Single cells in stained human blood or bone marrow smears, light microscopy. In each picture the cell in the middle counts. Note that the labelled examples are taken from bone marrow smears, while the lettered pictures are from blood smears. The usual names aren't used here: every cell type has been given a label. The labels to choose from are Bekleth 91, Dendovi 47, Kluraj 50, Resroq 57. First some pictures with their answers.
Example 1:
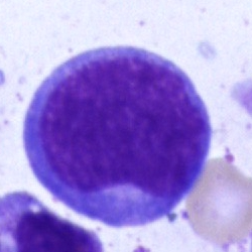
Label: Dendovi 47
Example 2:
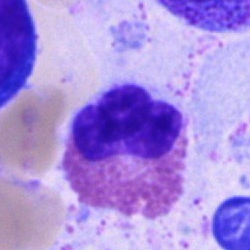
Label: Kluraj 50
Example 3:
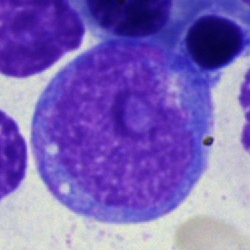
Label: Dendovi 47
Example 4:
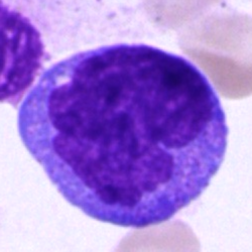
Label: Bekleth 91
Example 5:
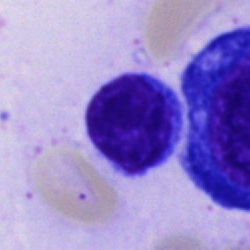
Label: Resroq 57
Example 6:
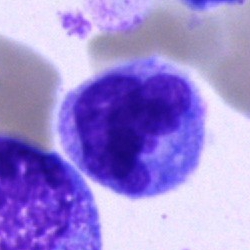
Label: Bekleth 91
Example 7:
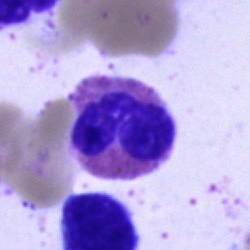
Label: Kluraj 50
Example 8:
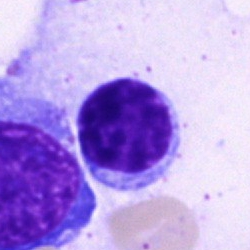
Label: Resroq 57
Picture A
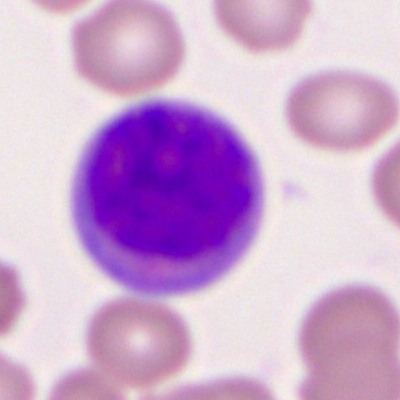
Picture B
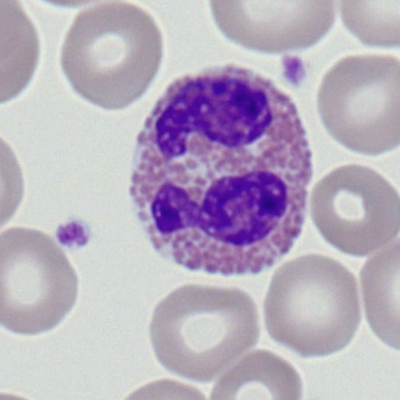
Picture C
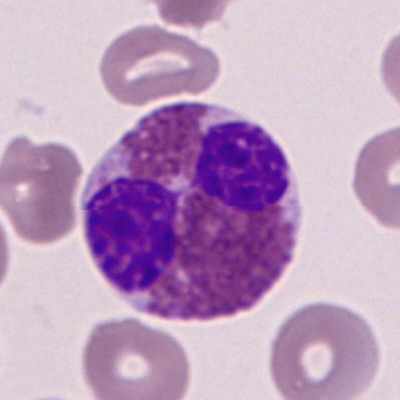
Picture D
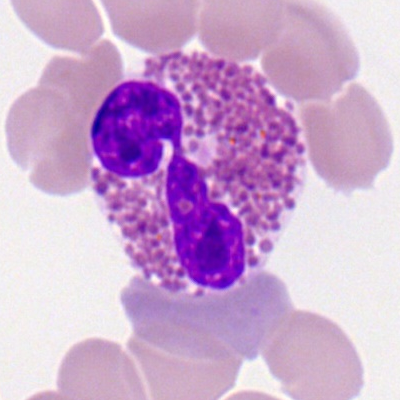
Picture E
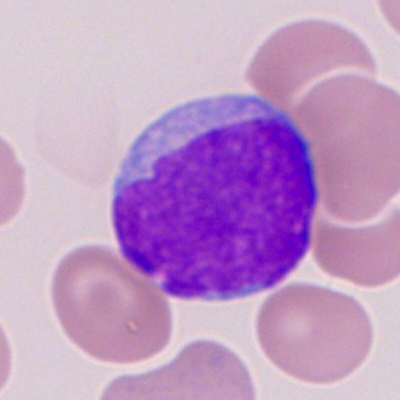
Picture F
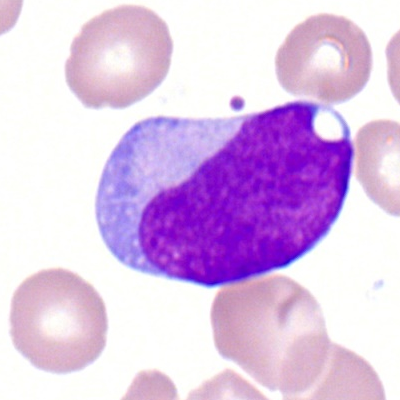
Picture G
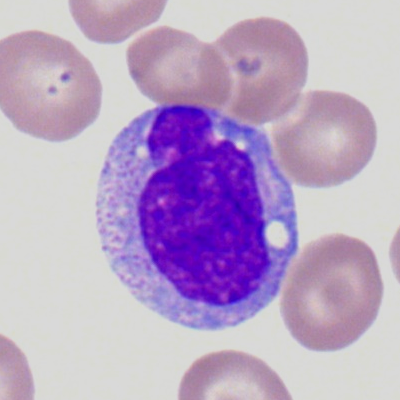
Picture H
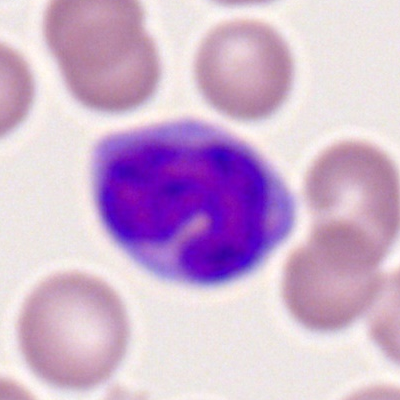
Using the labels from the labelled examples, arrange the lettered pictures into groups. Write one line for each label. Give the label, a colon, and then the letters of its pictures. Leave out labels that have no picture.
Bekleth 91: G, H
Dendovi 47: A, E, F
Kluraj 50: B, C, D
